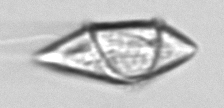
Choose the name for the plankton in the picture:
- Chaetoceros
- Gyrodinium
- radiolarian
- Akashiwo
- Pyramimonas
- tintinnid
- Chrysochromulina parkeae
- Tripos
Gyrodinium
